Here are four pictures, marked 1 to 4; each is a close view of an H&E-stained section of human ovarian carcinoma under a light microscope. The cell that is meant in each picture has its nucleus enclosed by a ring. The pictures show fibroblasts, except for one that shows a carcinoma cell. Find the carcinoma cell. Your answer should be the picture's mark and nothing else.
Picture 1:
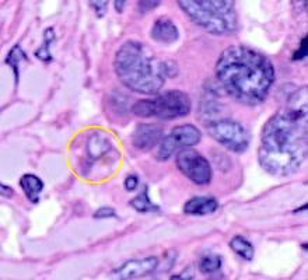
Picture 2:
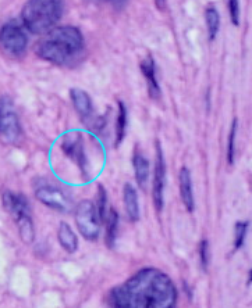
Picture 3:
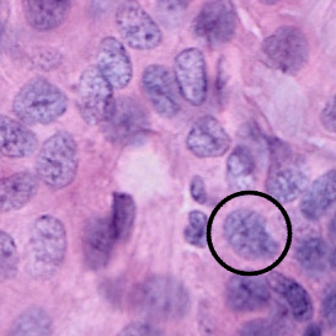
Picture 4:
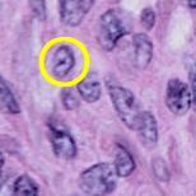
3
